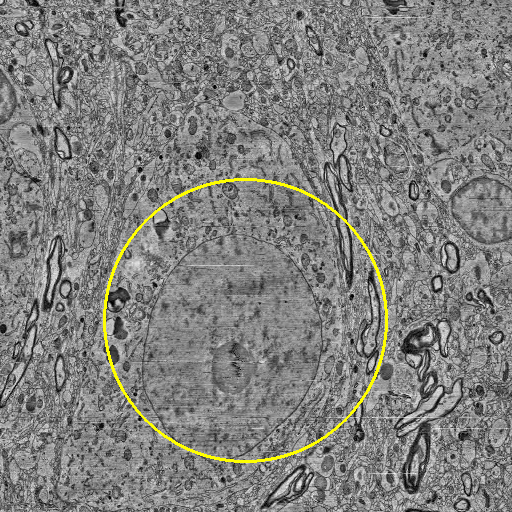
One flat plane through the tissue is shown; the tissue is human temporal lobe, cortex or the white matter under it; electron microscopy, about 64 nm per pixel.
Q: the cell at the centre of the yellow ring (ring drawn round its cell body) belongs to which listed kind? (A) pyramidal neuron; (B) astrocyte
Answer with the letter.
A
